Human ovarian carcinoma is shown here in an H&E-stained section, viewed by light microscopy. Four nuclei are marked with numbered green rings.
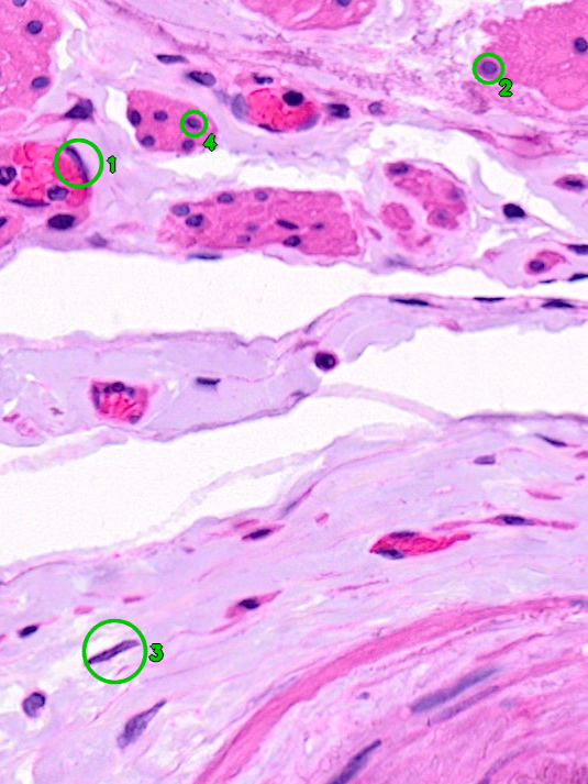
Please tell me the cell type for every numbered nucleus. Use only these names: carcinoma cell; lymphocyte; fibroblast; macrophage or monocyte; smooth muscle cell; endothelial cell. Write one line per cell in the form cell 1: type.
cell 1: endothelial cell
cell 2: smooth muscle cell
cell 3: fibroblast
cell 4: smooth muscle cell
